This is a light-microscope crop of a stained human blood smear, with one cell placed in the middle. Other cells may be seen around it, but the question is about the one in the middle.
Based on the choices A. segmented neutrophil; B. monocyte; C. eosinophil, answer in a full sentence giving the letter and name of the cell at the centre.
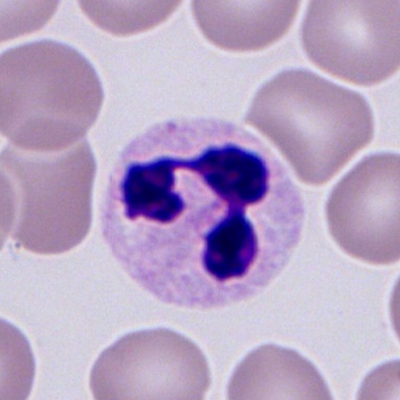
The middle of the crop holds a segmented neutrophil, which points to option A.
